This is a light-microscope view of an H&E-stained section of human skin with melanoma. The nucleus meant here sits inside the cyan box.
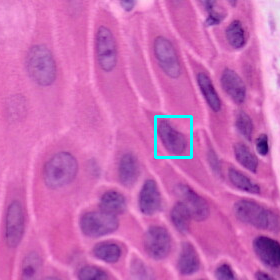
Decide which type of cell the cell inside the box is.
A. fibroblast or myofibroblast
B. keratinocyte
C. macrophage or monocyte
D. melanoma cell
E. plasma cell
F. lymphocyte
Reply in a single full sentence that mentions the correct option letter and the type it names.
What option B states, that the cell inside the box is a keratinocyte, is correct.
